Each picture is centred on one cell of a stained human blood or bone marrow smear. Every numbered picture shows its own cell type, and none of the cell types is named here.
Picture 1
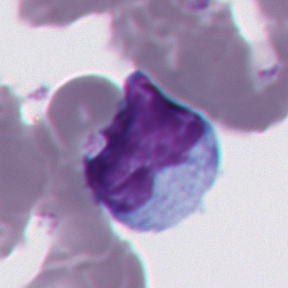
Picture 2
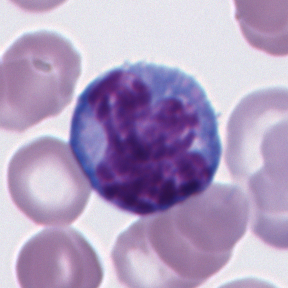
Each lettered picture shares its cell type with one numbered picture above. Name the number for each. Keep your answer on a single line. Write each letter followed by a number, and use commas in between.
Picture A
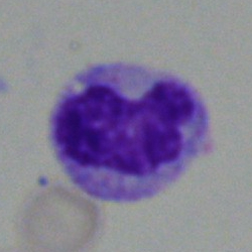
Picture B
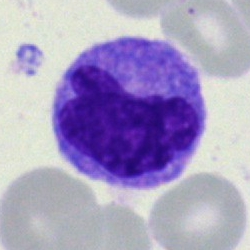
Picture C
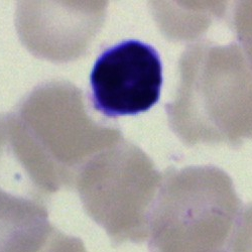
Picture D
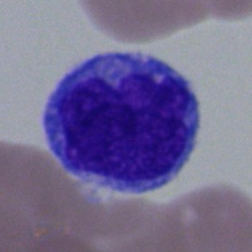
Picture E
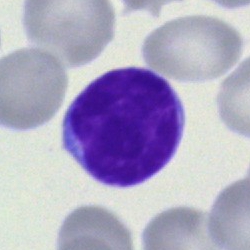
A 2, B 2, C 1, D 2, E 1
